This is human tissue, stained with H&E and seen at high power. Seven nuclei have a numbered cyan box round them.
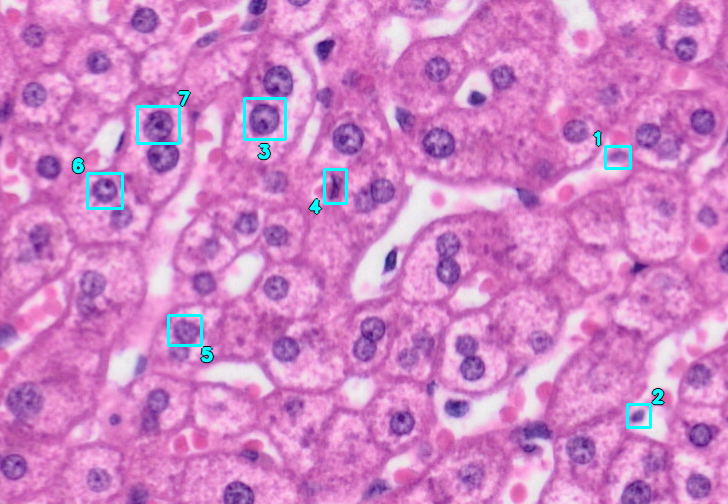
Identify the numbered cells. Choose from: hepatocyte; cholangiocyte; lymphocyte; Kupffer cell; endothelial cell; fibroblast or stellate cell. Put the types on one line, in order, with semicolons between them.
Kupffer cell; lymphocyte; hepatocyte; endothelial cell; hepatocyte; hepatocyte; hepatocyte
